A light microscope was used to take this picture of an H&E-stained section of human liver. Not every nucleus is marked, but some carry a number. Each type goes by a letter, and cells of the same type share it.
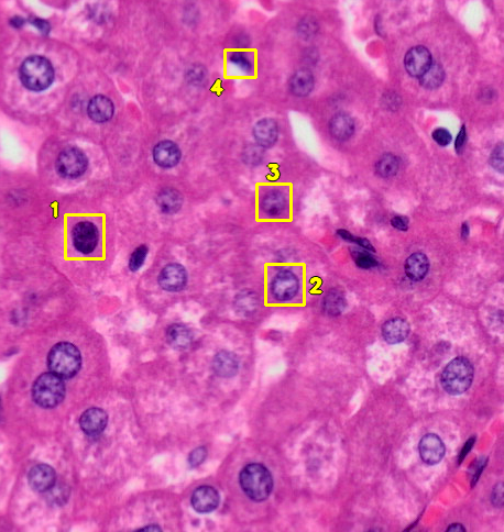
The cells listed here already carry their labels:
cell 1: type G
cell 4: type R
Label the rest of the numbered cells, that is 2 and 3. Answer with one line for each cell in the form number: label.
2: type G
3: type G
